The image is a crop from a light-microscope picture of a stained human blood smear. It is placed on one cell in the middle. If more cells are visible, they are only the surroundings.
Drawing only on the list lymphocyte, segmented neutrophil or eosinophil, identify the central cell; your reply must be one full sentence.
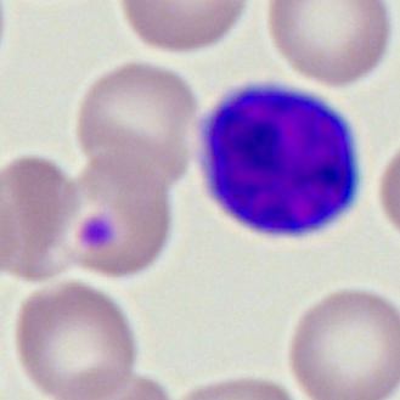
The centrally positioned cell in the crop represents a lymphocyte.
